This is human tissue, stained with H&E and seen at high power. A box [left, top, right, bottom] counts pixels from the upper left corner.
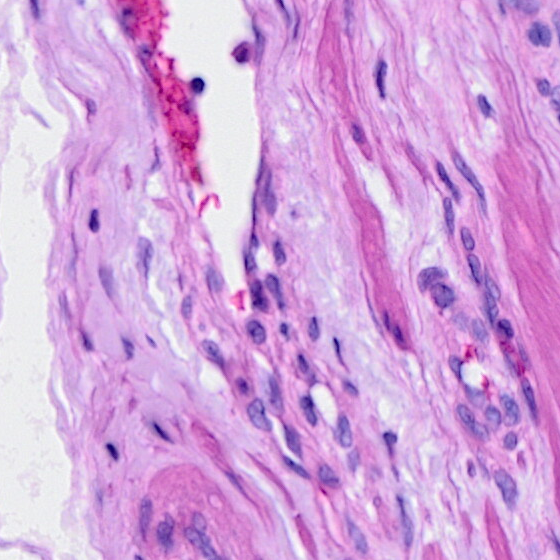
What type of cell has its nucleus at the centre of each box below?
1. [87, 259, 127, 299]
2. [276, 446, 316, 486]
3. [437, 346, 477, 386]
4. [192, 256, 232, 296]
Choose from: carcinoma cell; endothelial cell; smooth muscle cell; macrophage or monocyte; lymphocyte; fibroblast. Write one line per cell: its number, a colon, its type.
1: fibroblast
2: endothelial cell
3: endothelial cell
4: endothelial cell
